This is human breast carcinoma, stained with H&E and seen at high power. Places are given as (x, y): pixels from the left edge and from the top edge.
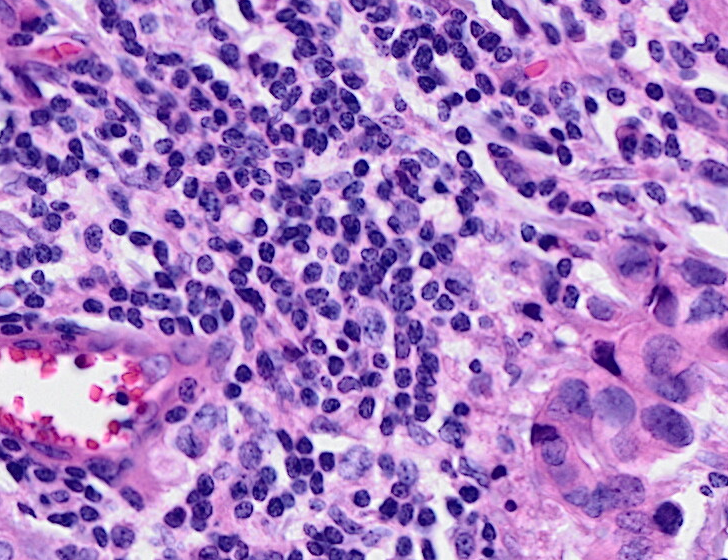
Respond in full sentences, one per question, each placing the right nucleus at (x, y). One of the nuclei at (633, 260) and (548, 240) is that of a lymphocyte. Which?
Which one belongs to a lymphocyte? The nucleus at (548, 240) does.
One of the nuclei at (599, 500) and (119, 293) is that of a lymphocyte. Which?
Of the two candidate nuclei, the one at (119, 293) is that of a lymphocyte.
